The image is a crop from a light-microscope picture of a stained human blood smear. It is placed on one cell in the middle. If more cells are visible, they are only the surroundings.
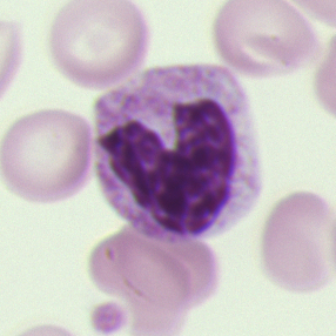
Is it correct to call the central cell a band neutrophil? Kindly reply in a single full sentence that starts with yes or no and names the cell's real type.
Yes, the cell in the exact middle is a band neutrophil.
